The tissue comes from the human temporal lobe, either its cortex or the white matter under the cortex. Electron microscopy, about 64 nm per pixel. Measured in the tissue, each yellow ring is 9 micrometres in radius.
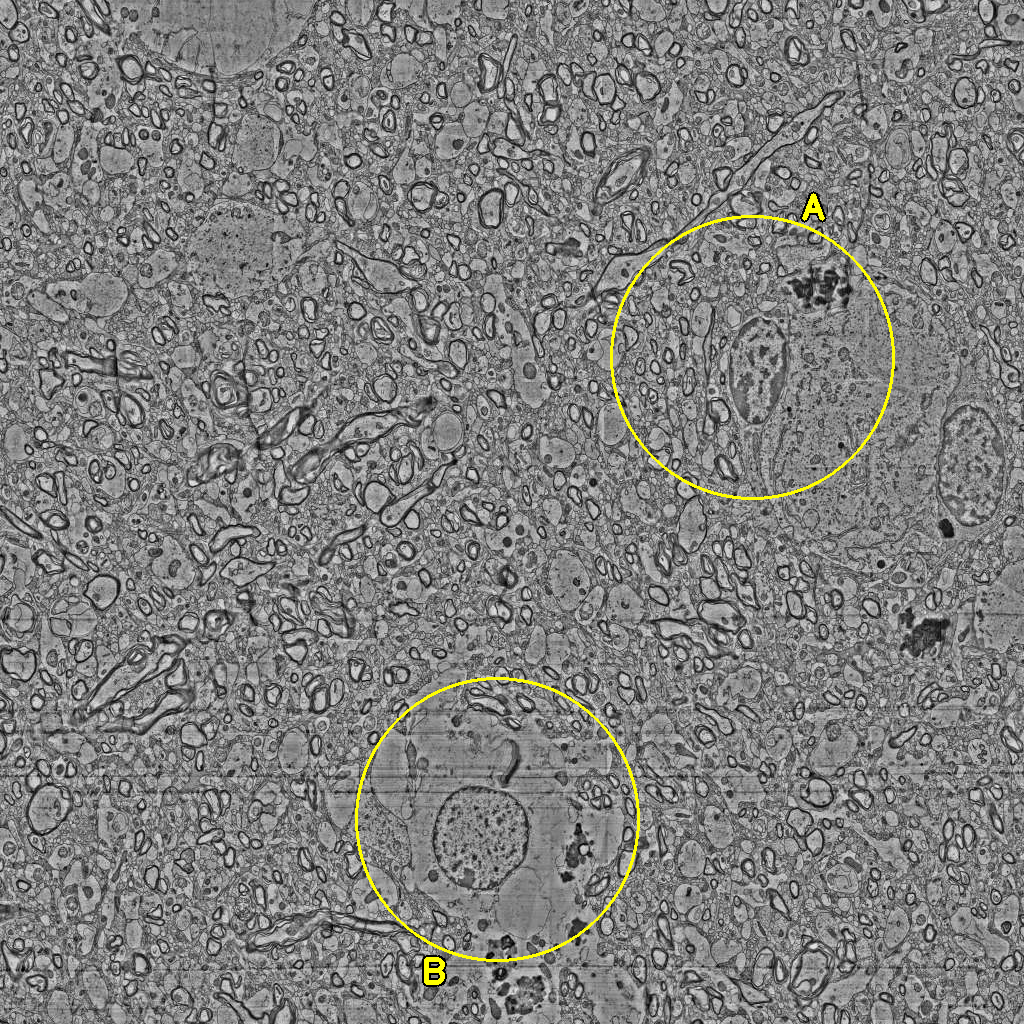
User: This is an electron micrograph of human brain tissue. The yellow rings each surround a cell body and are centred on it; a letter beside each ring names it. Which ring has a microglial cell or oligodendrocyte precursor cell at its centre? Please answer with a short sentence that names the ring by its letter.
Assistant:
Ring A has it at its centre.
